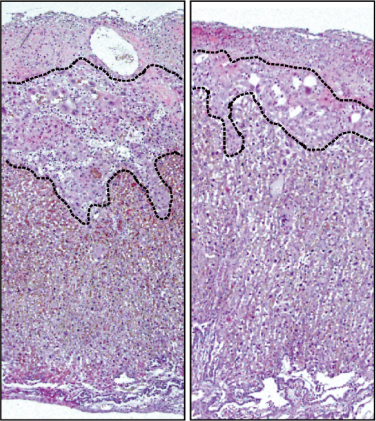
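Two sections of placenta in hematoxylin and eosin, each divided by wavy black dotted lines into three layers: decidua at the top, junctional zone in the middle, labyrinth below. The decidua is a loose pink tissue with scattered nuclei and blood spaces. The junctional zone is a band of larger, paler cells with irregular borders, containing clear vacuole-like spaces in the right section. The labyrinth is the thickest layer, densely packed with purple nuclei and fine channels running toward the lower surface.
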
